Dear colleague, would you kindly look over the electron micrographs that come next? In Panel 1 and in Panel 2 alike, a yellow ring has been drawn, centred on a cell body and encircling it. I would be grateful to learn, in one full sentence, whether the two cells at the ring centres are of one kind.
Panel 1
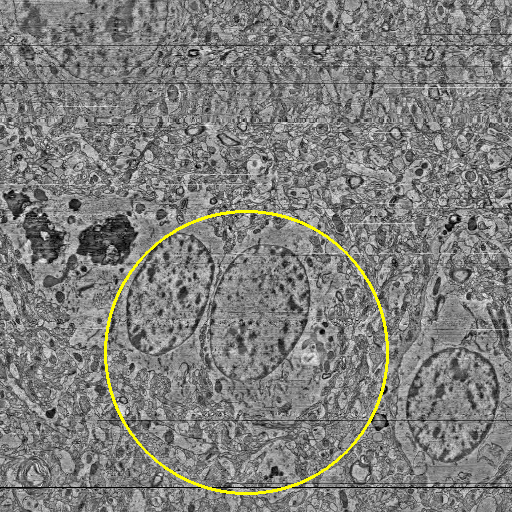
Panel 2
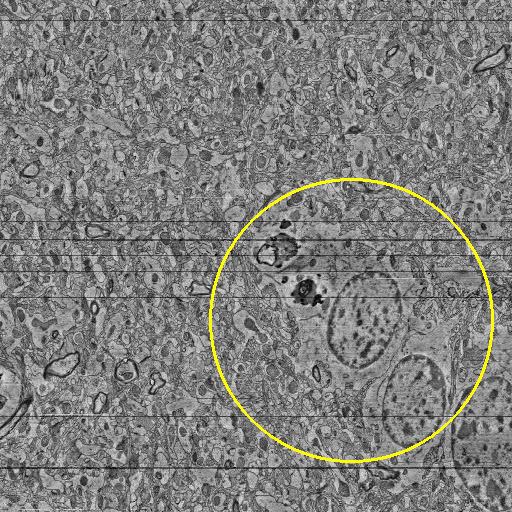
Yes, the cells in the middle of the rings in the two panels are of one kind.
